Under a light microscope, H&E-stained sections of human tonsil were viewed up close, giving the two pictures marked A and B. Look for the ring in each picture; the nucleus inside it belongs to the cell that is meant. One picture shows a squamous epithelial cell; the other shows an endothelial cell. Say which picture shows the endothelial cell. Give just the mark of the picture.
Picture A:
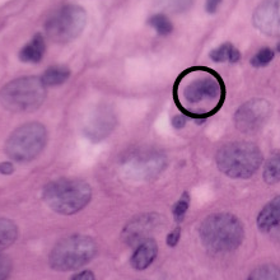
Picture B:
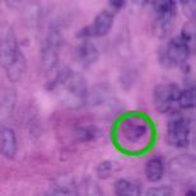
B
